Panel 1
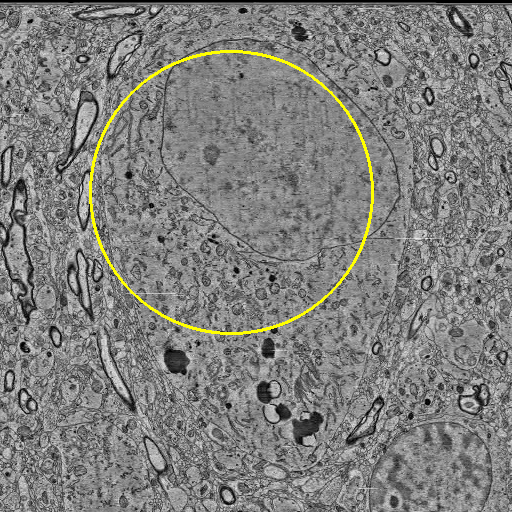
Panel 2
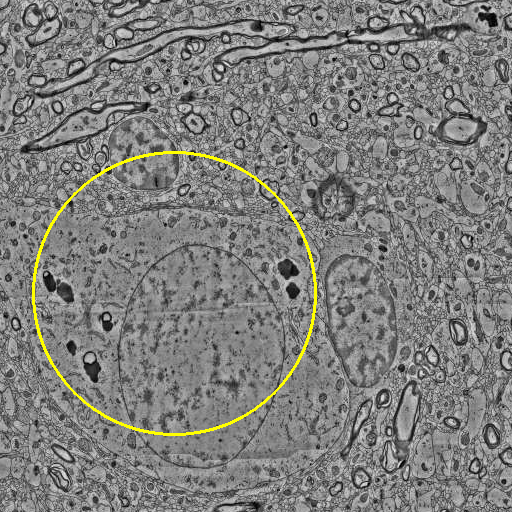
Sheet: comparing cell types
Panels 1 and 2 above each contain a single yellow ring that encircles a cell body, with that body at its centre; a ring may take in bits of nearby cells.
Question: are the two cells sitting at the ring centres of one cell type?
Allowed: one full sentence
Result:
Yes, the ring-centre cells in Panel 1 and Panel 2 are of one type.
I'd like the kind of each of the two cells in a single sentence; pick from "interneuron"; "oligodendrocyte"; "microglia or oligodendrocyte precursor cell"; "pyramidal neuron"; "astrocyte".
Each of the two rings is centred on a pyramidal neuron.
